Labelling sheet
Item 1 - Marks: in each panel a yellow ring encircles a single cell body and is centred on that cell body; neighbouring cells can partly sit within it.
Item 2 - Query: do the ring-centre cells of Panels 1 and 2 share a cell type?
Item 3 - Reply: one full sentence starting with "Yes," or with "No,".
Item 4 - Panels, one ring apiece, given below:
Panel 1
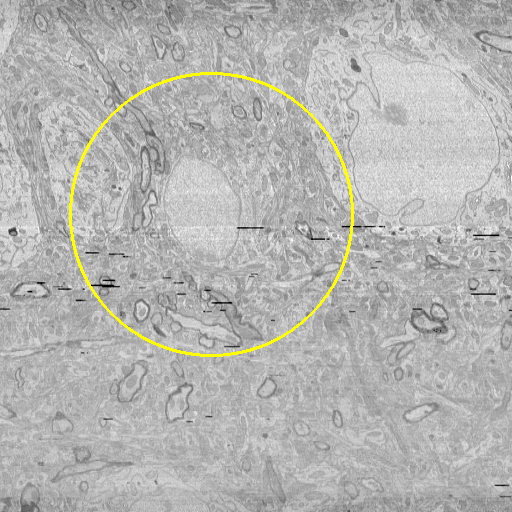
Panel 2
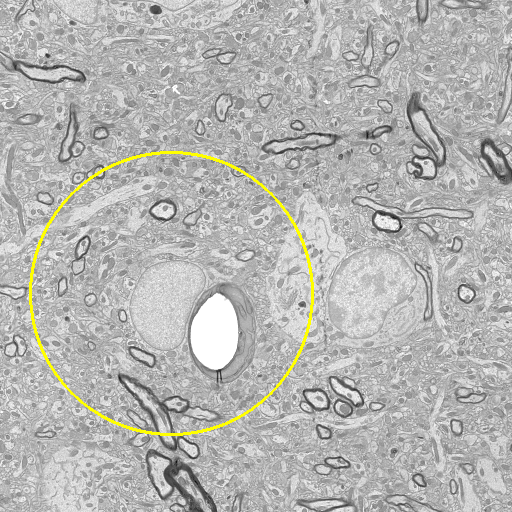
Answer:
Yes, Panel 1 and Panel 2 show one cell type at the centres of their rings.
